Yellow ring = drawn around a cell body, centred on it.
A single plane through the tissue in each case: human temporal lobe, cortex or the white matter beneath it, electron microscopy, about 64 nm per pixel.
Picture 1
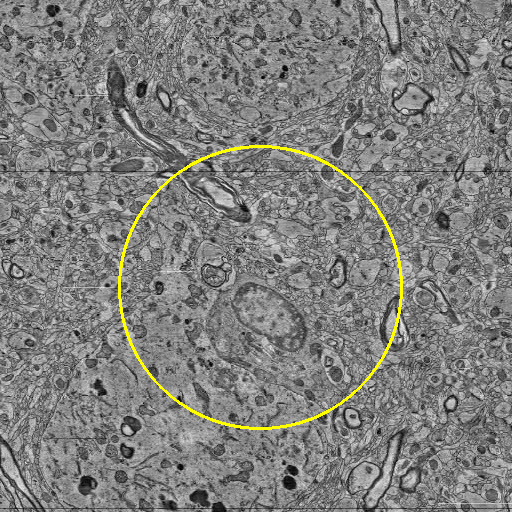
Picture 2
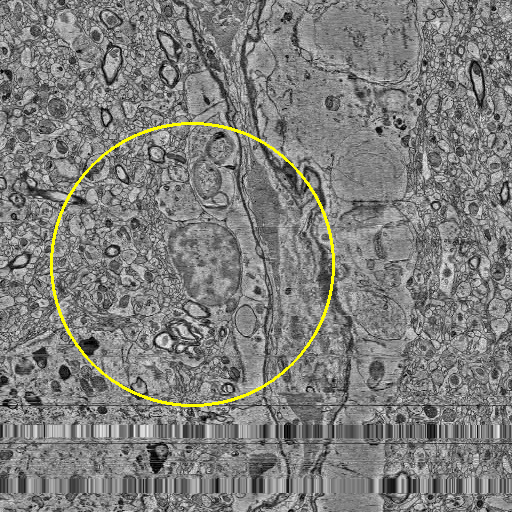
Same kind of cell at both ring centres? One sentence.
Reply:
Yes, they are the same kind of cell.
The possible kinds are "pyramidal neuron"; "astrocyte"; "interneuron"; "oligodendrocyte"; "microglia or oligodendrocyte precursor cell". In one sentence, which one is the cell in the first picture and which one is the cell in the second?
The cell in the first picture is an oligodendrocyte, and so is the one in the second.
